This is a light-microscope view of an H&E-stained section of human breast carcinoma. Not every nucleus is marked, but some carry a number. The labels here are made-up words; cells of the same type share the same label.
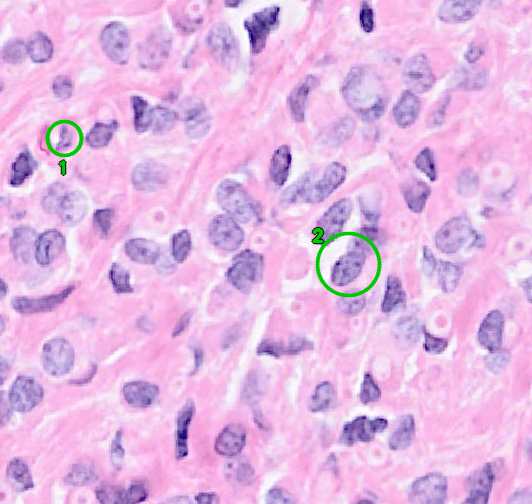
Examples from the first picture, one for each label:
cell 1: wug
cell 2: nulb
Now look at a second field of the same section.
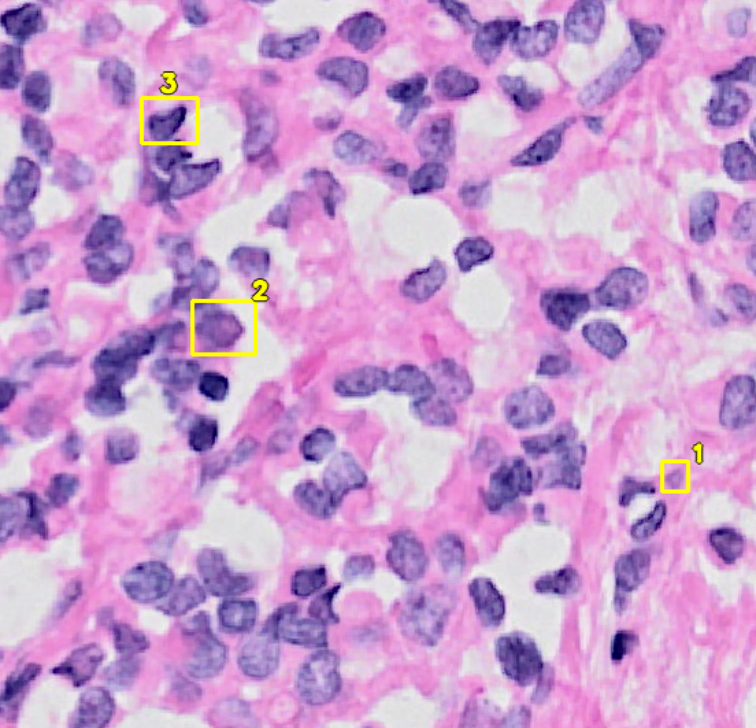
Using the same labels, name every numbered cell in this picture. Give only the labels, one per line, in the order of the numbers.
wug
nulb
nulb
